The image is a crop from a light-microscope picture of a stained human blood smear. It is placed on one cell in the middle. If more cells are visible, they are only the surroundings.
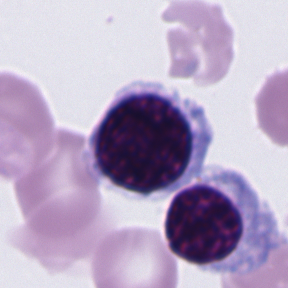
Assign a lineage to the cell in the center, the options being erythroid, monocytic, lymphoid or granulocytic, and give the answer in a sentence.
The cell in the middle of the crop is sorted into the erythroid lineage.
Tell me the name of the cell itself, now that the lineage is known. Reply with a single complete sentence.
At the middle of the frame sits a normoblast.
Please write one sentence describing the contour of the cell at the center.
Not smooth, the outline of the cell is ragged or drawn out into projections.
